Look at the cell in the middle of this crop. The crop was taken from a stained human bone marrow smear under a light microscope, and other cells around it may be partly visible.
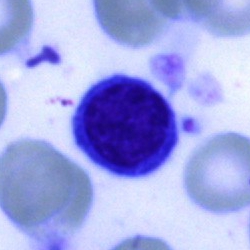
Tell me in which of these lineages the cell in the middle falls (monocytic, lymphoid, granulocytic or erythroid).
lymphoid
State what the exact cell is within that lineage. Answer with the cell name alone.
lymphocyte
